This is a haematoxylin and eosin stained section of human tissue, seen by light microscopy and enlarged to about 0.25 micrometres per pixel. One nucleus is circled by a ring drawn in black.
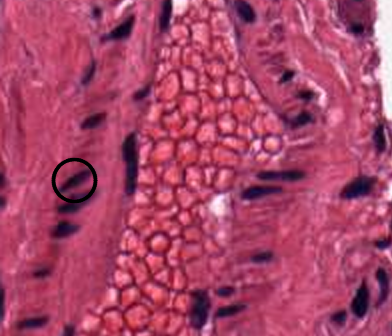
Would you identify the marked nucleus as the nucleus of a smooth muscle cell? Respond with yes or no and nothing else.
yes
